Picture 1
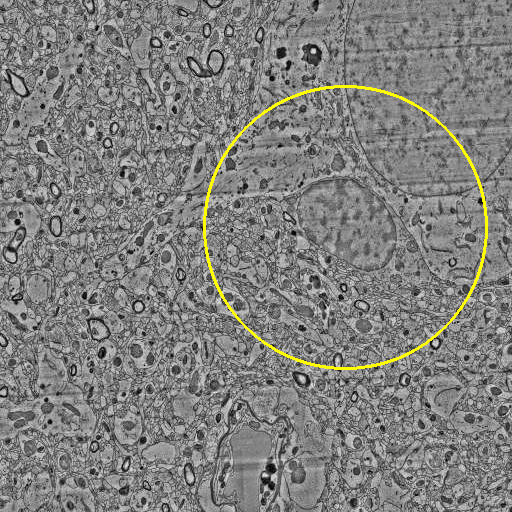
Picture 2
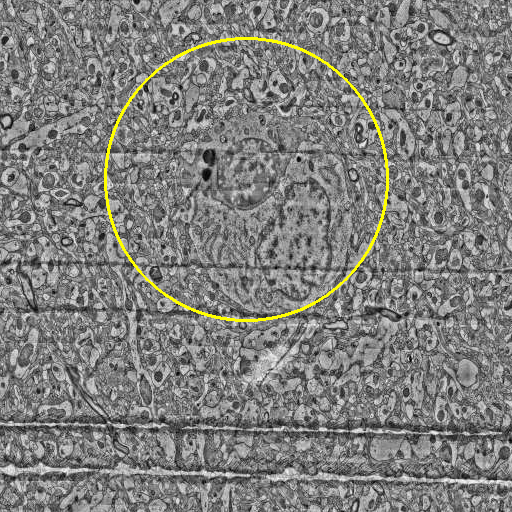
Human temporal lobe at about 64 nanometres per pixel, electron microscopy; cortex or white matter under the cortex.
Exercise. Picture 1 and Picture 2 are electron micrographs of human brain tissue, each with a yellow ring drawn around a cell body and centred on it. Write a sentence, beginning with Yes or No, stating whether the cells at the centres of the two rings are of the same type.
Yes, the cells at the centres of both rings are of the same type.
